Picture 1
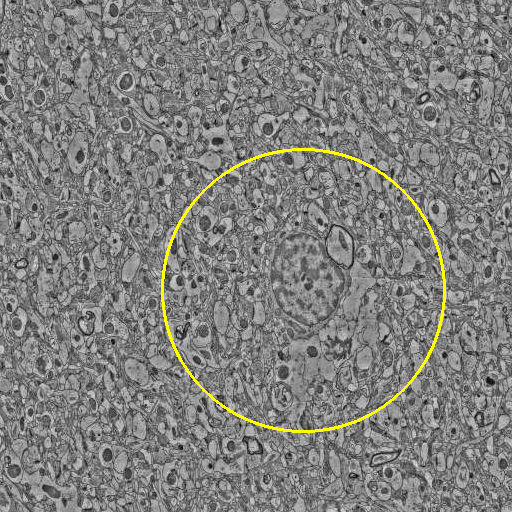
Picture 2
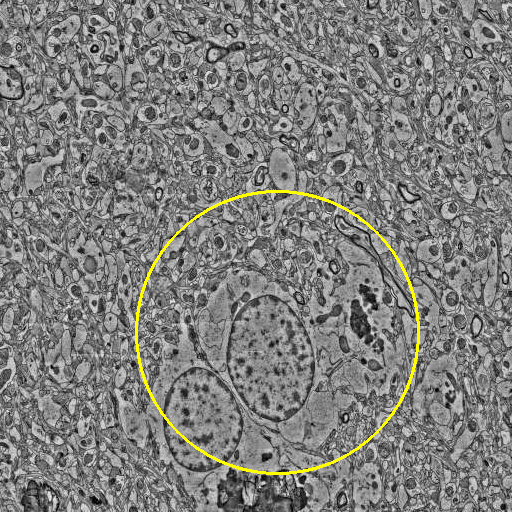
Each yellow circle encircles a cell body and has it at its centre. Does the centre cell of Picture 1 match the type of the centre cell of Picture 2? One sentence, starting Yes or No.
No, the cell centred in Picture 1 and the one in Picture 2 have separate types.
